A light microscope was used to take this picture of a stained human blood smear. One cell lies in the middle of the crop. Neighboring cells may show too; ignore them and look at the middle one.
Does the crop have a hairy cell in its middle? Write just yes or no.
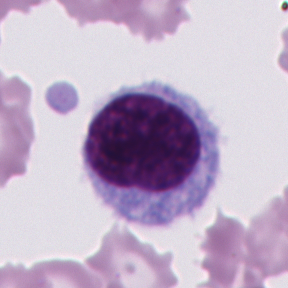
yes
